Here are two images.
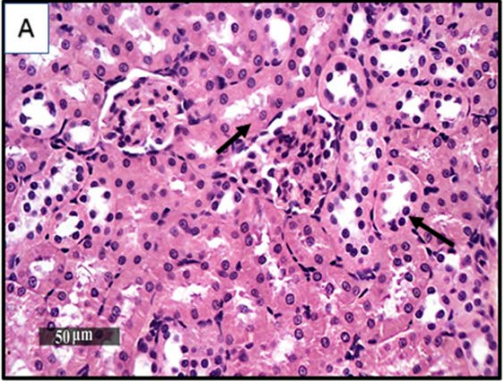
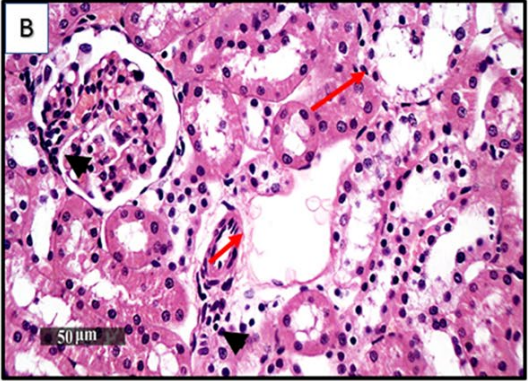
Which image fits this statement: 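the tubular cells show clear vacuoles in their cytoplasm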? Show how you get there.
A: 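Second image: several tubules are lined by pale cells with clear cytoplasmic spaces. First image: tubules are lined by evenly pink cuboidal cells without clear spaces. That points to this answer: the second image.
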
